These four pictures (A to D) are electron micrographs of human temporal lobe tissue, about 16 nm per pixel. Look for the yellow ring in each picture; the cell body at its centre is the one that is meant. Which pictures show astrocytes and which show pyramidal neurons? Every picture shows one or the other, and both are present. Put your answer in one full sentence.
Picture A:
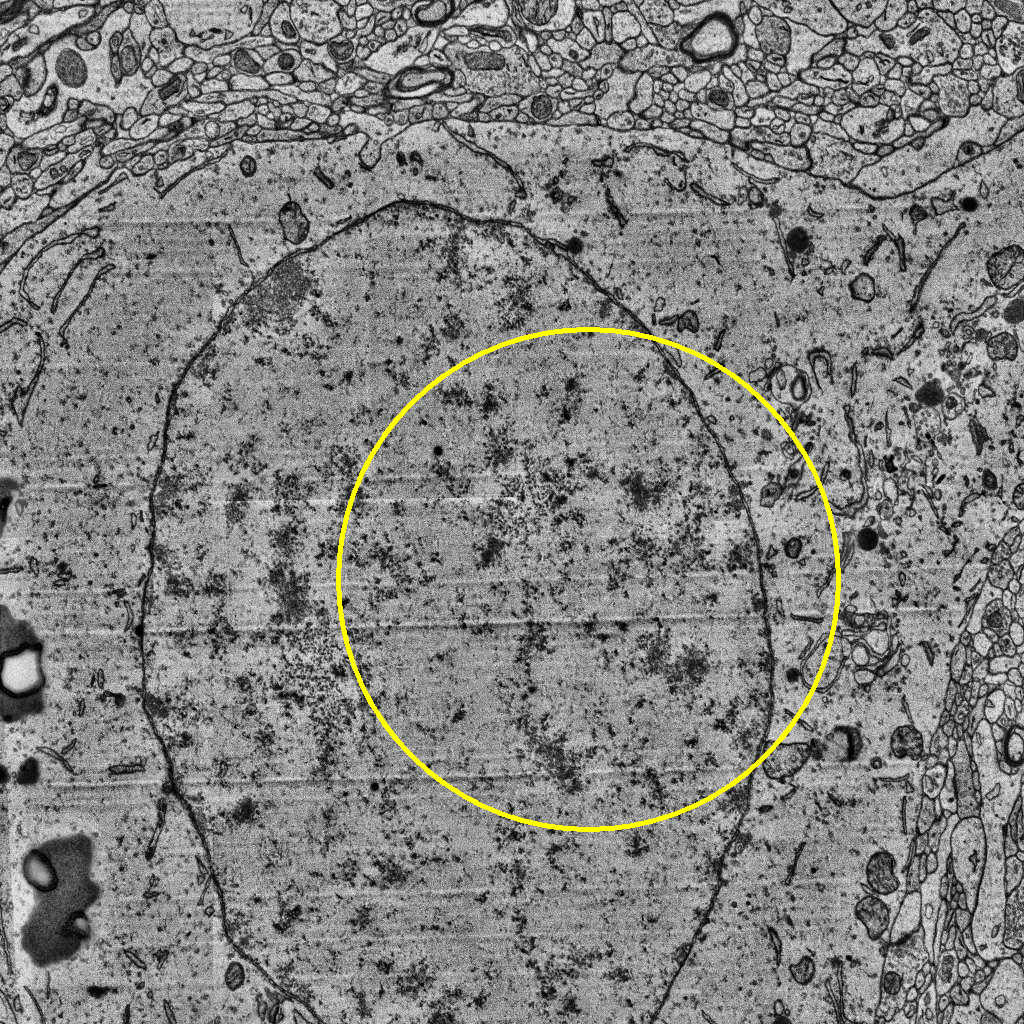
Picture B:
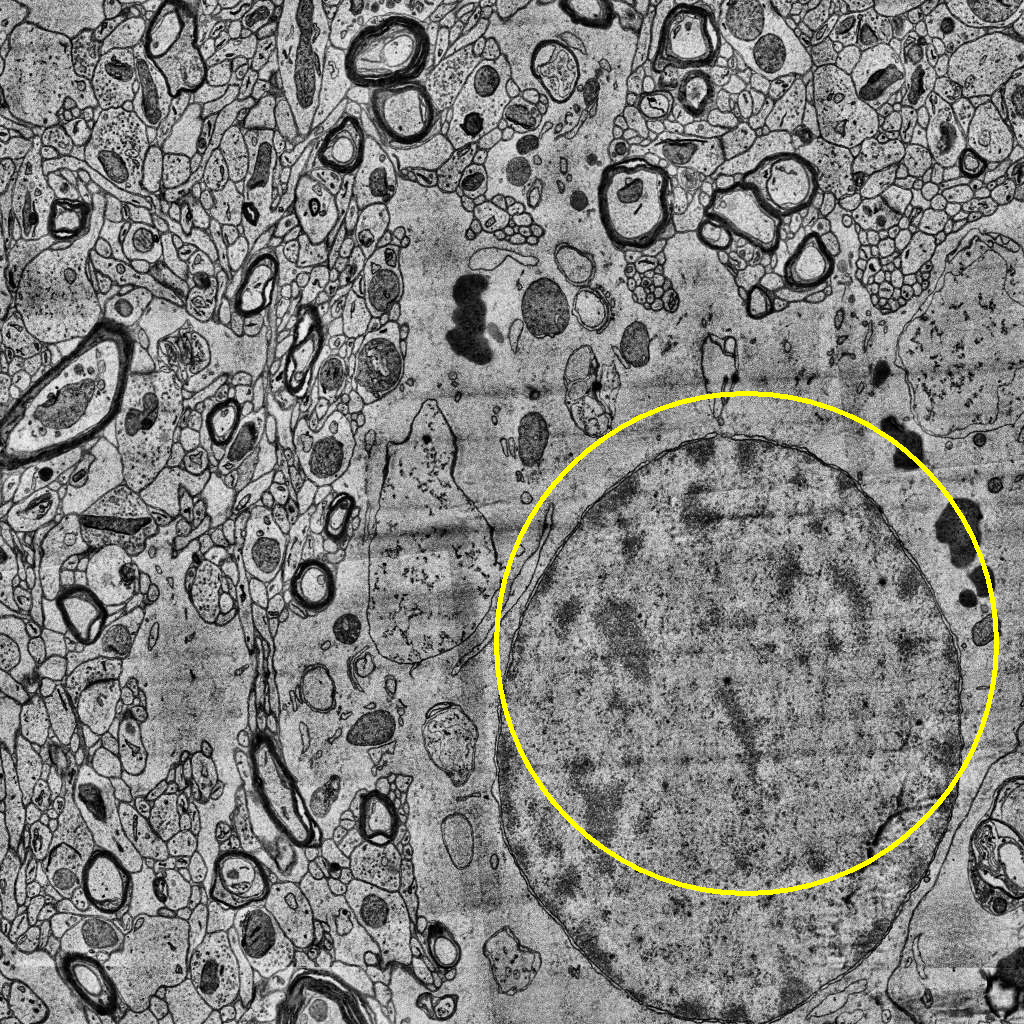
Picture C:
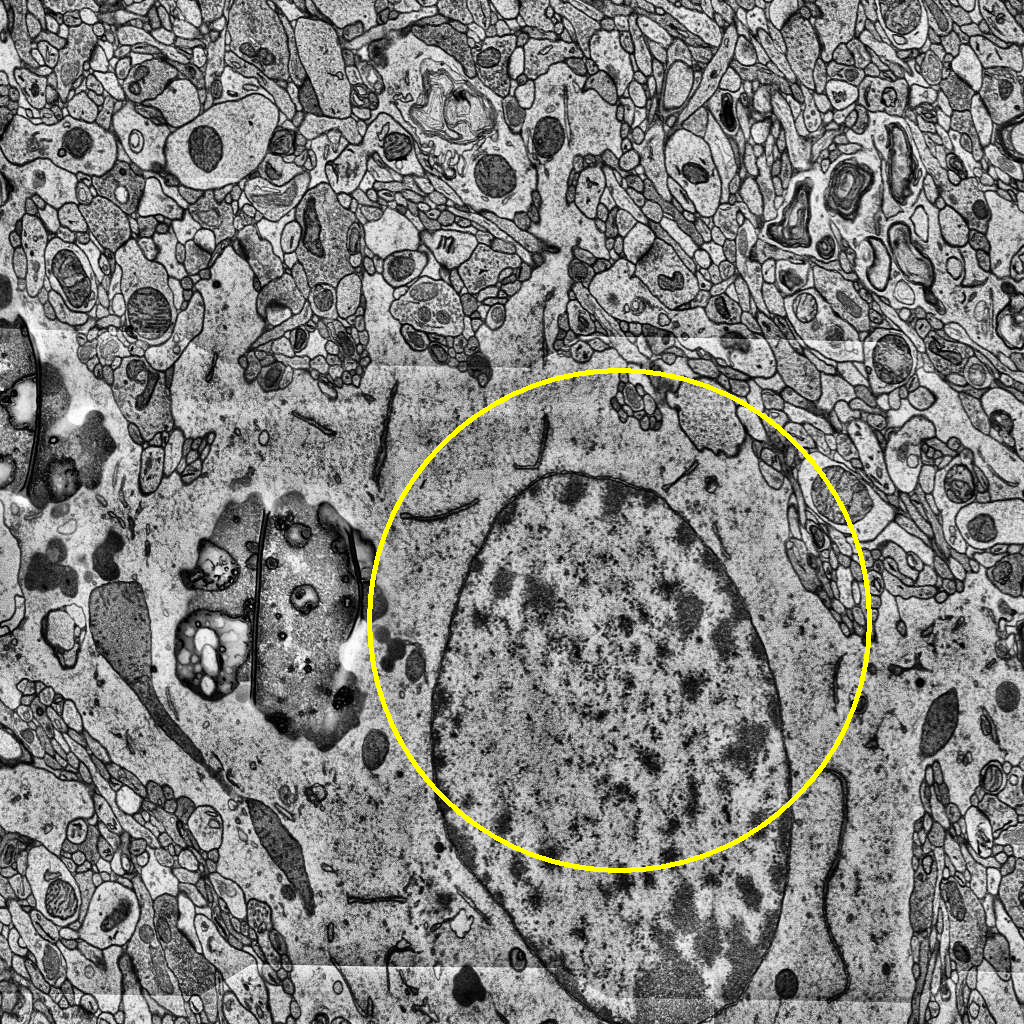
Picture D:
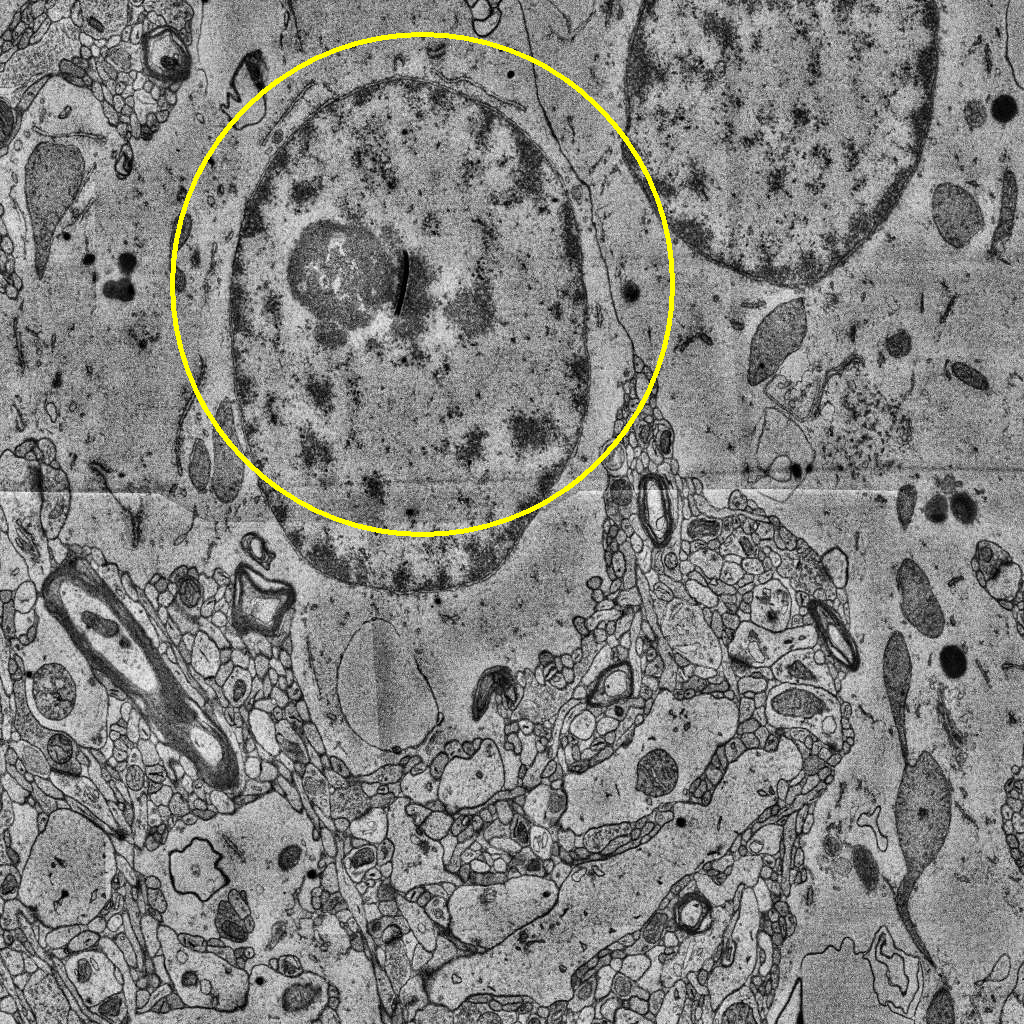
Pictures B, C and D show astrocytes, while picture A shows a pyramidal neuron.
